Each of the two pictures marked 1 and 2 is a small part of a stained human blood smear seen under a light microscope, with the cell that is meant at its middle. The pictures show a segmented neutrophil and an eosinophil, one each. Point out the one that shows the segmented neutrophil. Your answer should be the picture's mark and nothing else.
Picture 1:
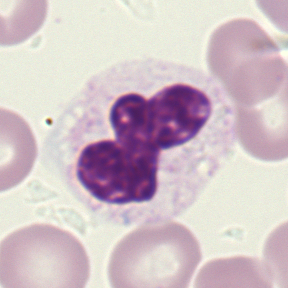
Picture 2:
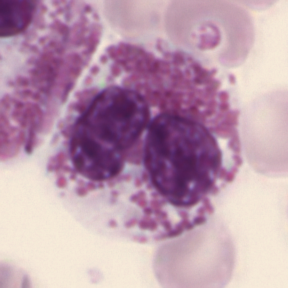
1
